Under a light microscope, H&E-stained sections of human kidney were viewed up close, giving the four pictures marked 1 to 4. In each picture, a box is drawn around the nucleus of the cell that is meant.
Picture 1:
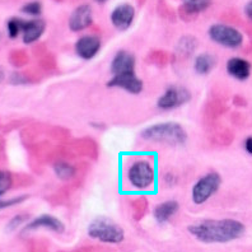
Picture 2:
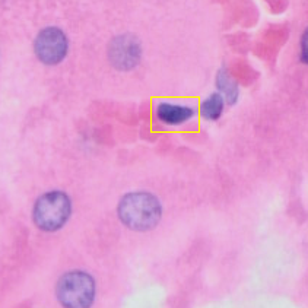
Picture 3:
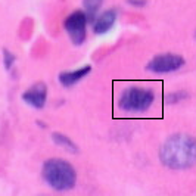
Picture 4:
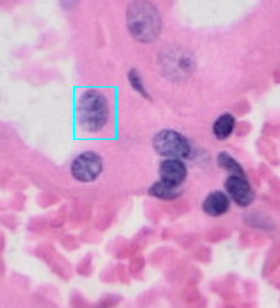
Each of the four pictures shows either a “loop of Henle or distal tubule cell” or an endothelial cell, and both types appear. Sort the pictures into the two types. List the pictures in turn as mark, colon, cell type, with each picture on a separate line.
1: endothelial cell
2: endothelial cell
3: loop of Henle or distal tubule cell
4: loop of Henle or distal tubule cell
